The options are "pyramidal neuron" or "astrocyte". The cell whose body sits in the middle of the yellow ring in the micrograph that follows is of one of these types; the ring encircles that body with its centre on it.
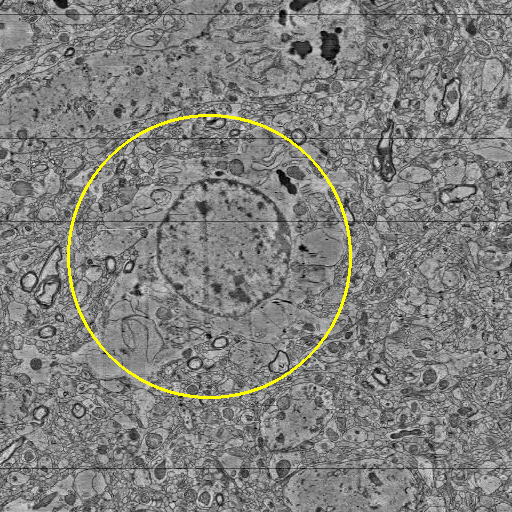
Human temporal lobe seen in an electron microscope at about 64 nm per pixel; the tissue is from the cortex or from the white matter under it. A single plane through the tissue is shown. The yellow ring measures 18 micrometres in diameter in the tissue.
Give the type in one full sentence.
Going by the micrograph, the cell centred in the yellow ring is an astrocyte.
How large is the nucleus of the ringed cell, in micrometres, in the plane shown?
In this plane, the nucleus measures approximately 9 micrometres across.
